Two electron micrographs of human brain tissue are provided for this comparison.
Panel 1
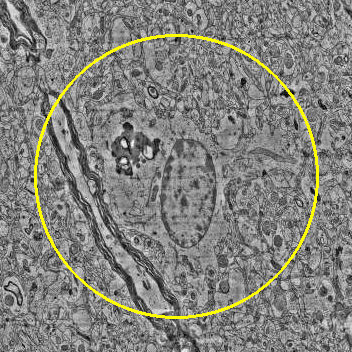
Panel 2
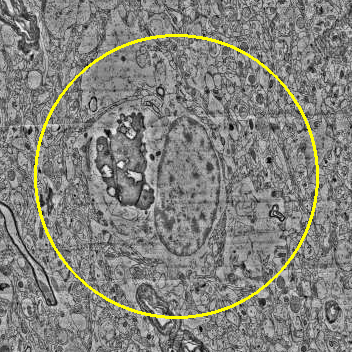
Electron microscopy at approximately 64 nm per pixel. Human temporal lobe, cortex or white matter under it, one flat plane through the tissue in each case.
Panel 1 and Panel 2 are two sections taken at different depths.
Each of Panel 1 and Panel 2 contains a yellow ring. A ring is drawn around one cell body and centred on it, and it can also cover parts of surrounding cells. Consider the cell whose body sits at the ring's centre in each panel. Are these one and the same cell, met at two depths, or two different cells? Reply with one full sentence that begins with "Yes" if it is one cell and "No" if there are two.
Yes, the two rings belong to one cell, not to two.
